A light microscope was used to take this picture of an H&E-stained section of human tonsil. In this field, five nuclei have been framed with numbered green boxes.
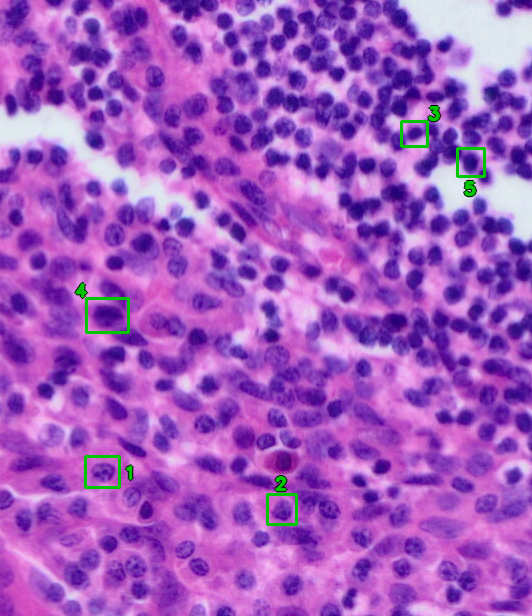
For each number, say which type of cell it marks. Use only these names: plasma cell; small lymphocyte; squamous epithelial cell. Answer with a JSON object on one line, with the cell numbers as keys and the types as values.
{"1": "plasma cell", "2": "plasma cell", "3": "small lymphocyte", "4": "squamous epithelial cell", "5": "small lymphocyte"}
